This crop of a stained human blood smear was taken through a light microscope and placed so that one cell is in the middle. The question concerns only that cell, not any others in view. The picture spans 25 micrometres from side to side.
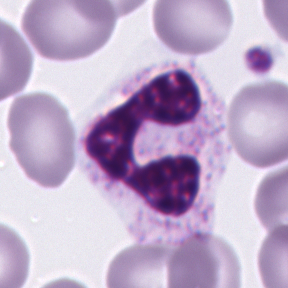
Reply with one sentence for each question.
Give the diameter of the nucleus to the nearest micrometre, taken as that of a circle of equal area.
The diameter of the nucleus comes to about 9 micrometres.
